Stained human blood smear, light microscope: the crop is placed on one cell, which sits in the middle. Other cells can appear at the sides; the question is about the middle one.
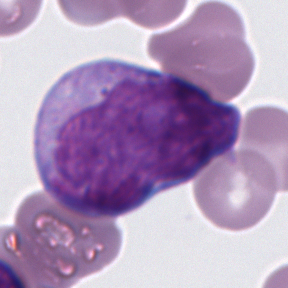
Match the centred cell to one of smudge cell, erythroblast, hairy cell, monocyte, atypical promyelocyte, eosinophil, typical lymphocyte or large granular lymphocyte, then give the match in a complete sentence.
Located at the centre of the crop is an atypical promyelocyte.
